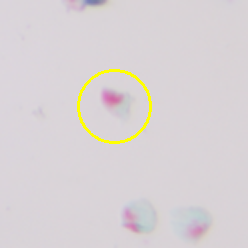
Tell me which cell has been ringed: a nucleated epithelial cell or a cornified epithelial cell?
It is a nucleated epithelial cell.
